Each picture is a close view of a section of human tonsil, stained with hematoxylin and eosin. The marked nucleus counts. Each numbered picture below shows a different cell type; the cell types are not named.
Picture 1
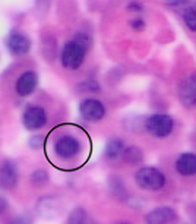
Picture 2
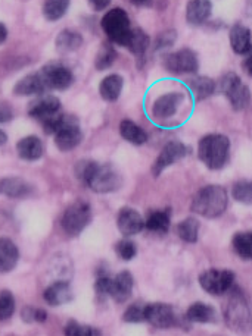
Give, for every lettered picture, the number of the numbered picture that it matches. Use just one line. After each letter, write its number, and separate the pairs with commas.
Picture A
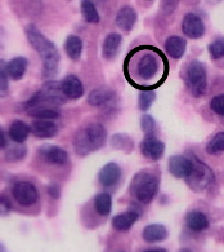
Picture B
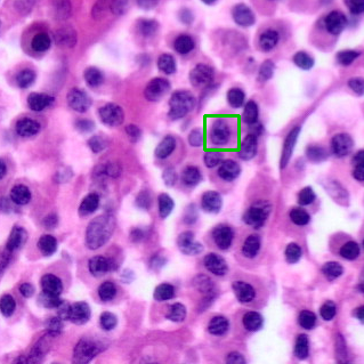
A 1, B 1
